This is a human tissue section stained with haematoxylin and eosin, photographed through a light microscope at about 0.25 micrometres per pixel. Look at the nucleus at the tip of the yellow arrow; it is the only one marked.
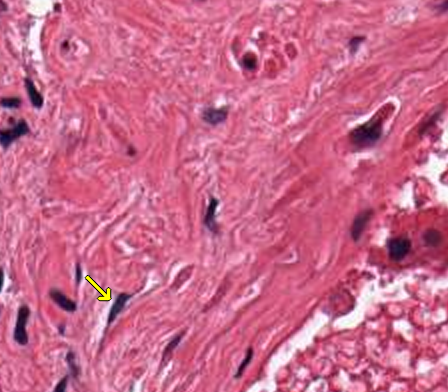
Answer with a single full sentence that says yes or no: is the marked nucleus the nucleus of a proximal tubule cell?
No, the owner of the marked nucleus is a supporting cell, not a proximal tubule cell.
